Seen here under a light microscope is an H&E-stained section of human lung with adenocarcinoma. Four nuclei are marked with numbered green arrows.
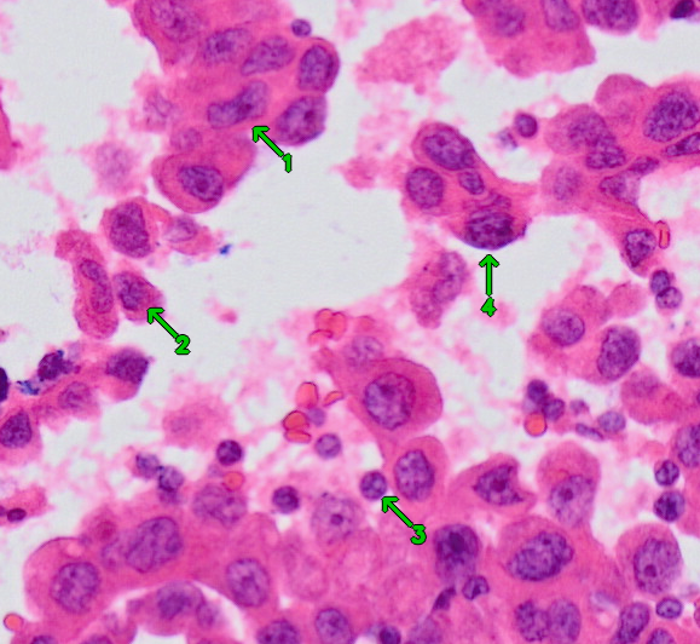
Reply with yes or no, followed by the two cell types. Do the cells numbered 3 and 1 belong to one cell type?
No, hold on, cell 3 is a lymphocyte and cell 1 is a carcinoma cell.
